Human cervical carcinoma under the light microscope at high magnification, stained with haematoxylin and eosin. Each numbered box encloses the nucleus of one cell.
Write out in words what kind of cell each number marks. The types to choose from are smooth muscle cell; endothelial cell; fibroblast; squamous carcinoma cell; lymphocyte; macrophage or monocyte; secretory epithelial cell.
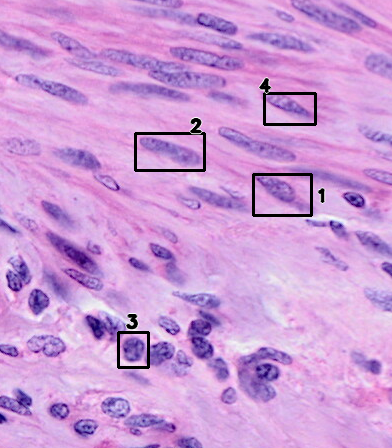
Cell 1 is a smooth muscle cell, cell 2 is a smooth muscle cell, cell 3 is a lymphocyte and cell 4 is a smooth muscle cell.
